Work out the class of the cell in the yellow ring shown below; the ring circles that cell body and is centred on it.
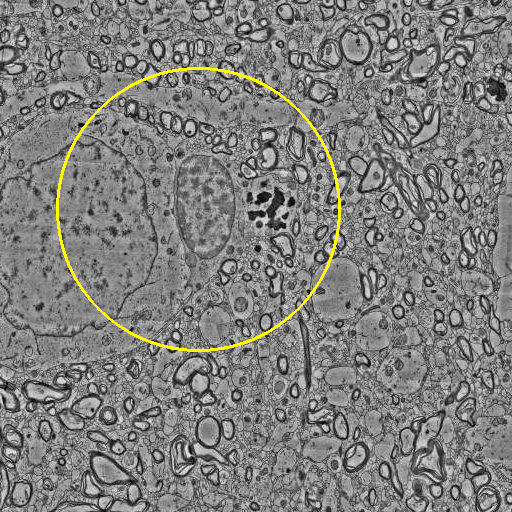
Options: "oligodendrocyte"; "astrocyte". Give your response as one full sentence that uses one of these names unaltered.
The body ringed in yellow, right at the ring's centre, is that of an oligodendrocyte.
